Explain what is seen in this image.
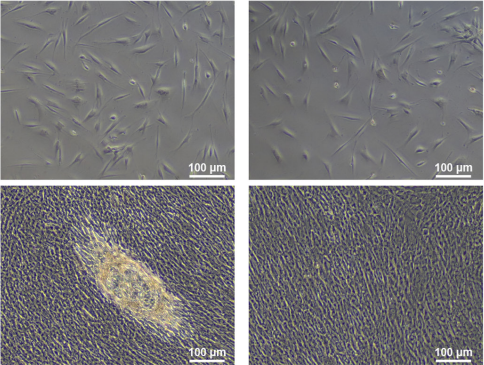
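In the upper fields the cells lie scattered and are mostly spindle-shaped or stellate, with long thin processes, alongside a few small rounded bright cells. In the lower fields the cells form a crowded, confluent monolayer of elongated cells. In one lower field a large, dense, refractile yellowish aggregate of cells rises from the monolayer, and the other lower field shows only the flat, uniform sheet of cells.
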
